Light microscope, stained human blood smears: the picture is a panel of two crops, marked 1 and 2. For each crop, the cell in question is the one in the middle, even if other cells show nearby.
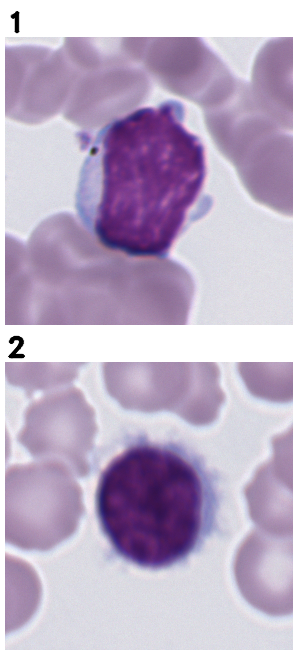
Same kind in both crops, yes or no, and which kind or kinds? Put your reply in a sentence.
No, crop 1 captures a large granular lymphocyte; meanwhile crop 2 captures a hairy cell.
